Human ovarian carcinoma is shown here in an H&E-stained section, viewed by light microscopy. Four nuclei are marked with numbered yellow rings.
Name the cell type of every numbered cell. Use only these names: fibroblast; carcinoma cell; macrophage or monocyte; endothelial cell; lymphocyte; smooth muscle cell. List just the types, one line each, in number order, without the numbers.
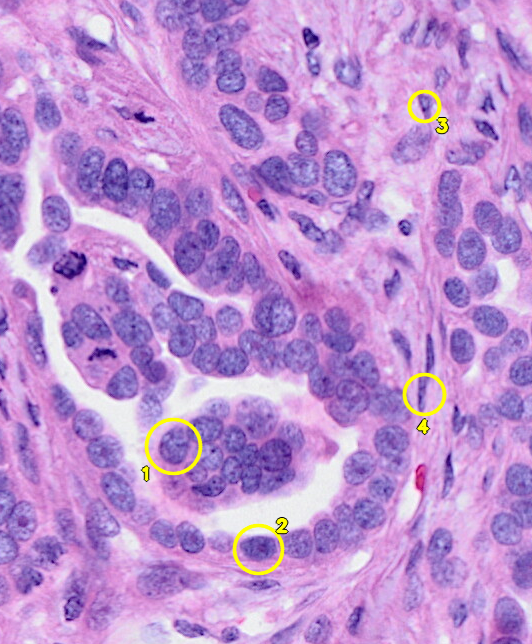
carcinoma cell
carcinoma cell
fibroblast
fibroblast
